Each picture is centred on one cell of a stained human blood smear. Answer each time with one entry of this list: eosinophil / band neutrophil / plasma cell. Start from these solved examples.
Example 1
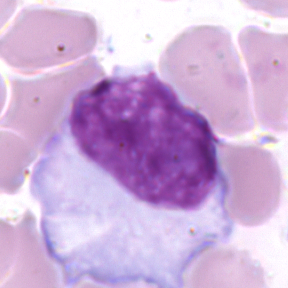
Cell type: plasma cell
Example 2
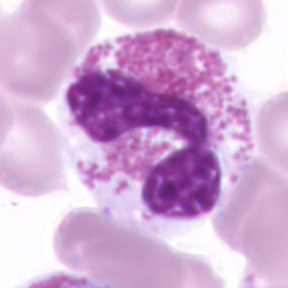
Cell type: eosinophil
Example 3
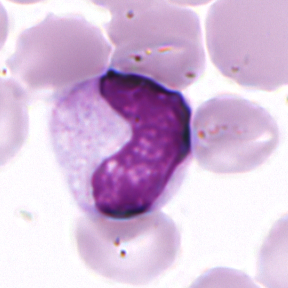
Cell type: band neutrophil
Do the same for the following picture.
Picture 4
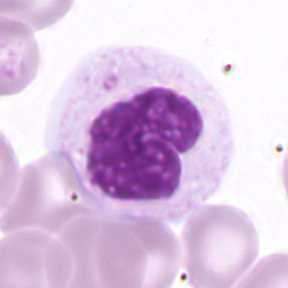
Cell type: band neutrophil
